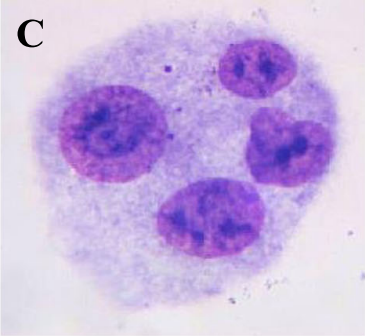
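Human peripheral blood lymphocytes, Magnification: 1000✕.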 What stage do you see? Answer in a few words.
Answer: polynucleated cell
